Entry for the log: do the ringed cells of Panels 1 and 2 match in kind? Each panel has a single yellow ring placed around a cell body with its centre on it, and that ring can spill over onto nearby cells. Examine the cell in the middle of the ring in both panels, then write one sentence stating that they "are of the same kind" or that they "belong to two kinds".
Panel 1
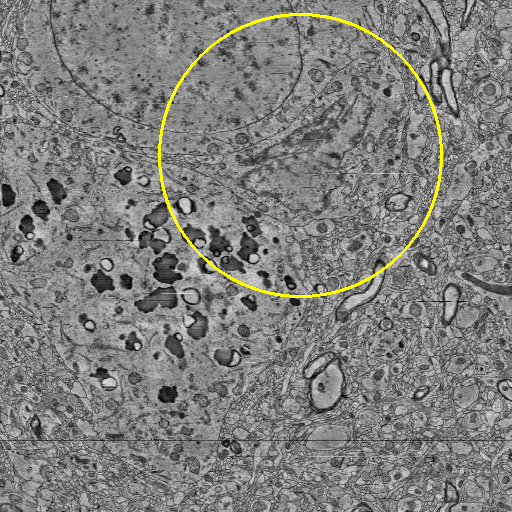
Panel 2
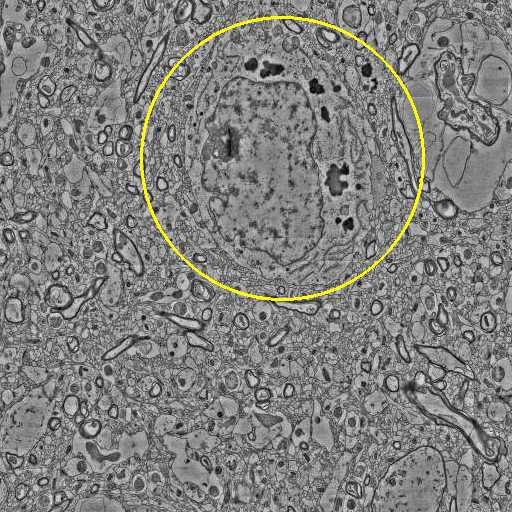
The centre cell of Panel 1's ring and that of Panel 2's ring are of the same kind.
